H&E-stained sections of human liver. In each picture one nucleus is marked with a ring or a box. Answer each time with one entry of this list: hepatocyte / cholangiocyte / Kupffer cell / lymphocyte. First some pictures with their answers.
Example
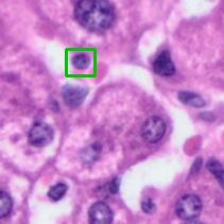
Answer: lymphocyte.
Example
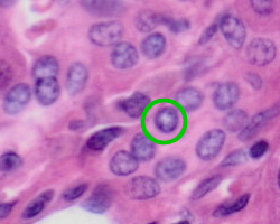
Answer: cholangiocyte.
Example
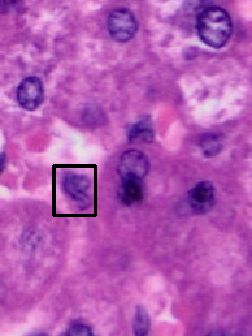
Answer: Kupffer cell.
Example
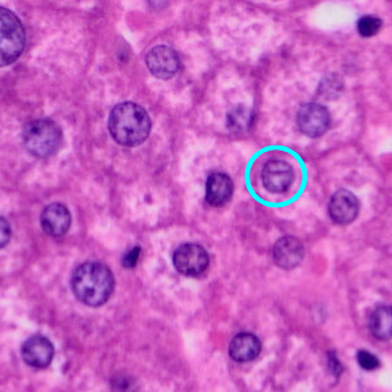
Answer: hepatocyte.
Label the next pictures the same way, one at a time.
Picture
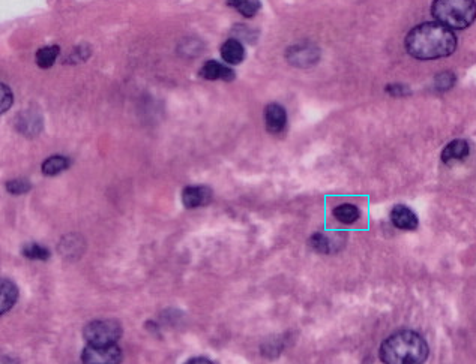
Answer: lymphocyte.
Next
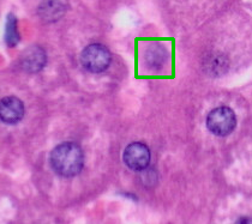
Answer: Kupffer cell.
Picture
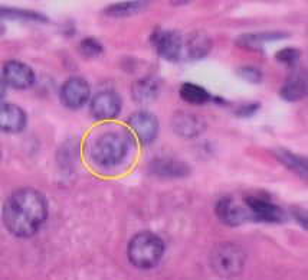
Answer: cholangiocyte.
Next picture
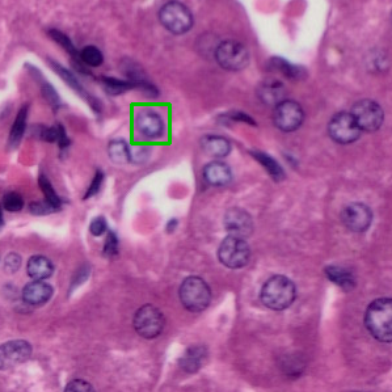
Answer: cholangiocyte.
